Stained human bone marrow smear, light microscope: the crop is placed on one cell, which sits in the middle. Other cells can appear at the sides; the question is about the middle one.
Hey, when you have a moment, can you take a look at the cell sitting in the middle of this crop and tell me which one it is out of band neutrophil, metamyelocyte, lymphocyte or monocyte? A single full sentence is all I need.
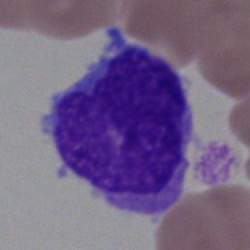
The identification for the central cell is a monocyte.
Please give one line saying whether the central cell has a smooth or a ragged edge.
As for its outline, the cell is irregular, ragged or drawn into projections.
